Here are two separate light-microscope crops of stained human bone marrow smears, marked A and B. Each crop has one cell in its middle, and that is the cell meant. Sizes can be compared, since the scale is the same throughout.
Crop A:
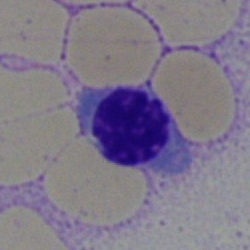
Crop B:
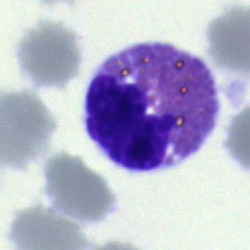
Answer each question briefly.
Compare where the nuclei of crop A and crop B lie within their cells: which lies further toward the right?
A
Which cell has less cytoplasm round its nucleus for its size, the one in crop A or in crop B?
A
